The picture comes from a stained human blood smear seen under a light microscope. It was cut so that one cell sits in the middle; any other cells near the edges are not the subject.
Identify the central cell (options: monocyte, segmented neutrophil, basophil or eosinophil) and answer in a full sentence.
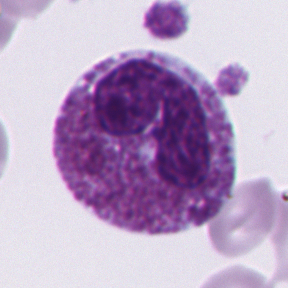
The cell of interest, located centrally, is an eosinophil.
